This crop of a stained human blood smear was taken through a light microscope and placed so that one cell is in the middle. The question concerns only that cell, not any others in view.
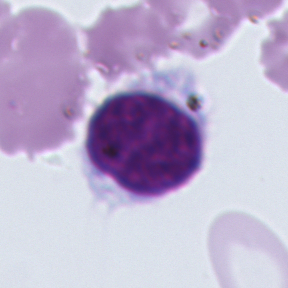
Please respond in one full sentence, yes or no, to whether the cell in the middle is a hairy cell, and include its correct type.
Yes, the cell sitting in the middle of this smear crop is a hairy cell.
